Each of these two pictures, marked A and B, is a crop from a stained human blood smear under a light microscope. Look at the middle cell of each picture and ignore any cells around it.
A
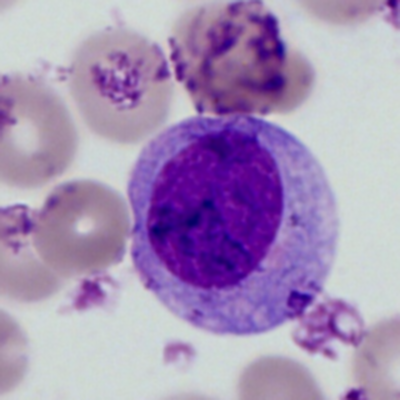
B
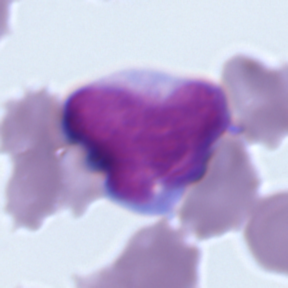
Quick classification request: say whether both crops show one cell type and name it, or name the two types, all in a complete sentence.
Yes, both crops do show blasts in the middle.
